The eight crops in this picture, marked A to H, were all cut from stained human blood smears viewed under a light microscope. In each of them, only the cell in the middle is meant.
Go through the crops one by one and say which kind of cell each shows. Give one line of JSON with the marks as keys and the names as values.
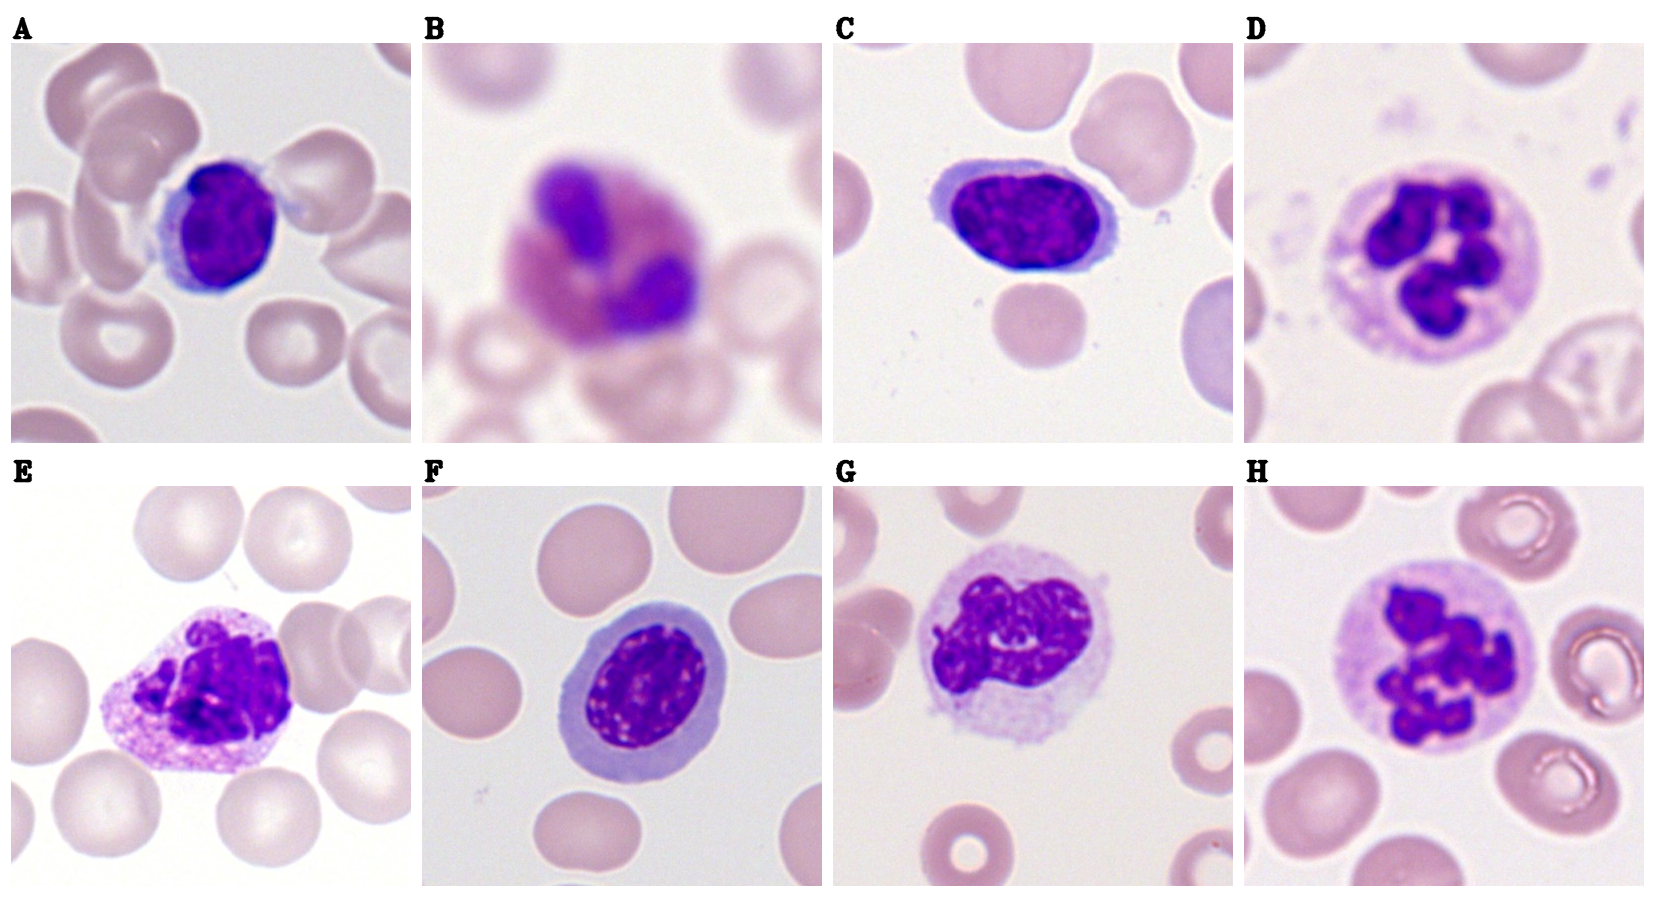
{"A": "lymphocyte", "B": "eosinophil", "C": "lymphocyte", "D": "segmented neutrophil", "E": "basophil", "F": "erythroblast", "G": "segmented neutrophil", "H": "segmented neutrophil"}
